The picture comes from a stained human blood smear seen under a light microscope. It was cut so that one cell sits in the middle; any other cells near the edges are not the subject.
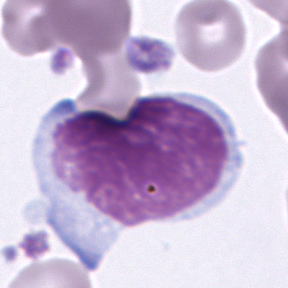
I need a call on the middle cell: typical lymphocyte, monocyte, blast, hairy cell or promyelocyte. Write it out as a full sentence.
Positioned in the middle of the crop is a typical lymphocyte.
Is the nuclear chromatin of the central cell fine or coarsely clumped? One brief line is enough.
The chromatin is fine throughout, without coarse clumps.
